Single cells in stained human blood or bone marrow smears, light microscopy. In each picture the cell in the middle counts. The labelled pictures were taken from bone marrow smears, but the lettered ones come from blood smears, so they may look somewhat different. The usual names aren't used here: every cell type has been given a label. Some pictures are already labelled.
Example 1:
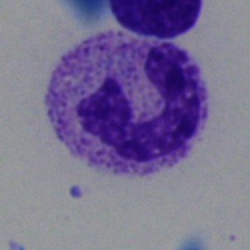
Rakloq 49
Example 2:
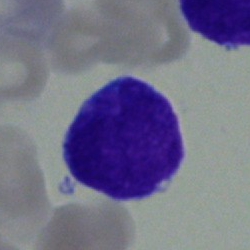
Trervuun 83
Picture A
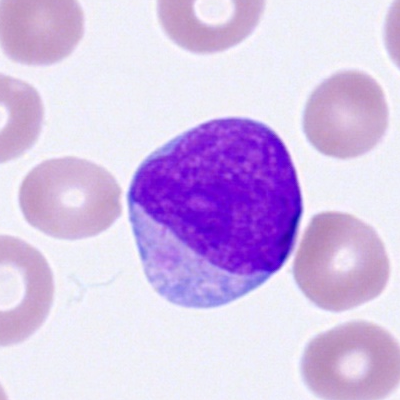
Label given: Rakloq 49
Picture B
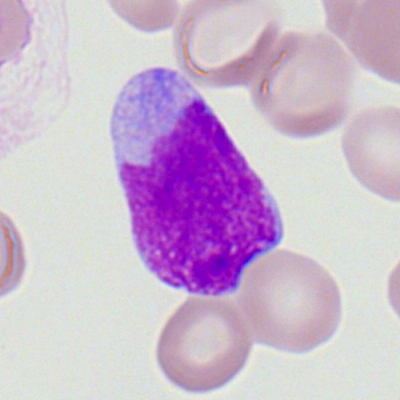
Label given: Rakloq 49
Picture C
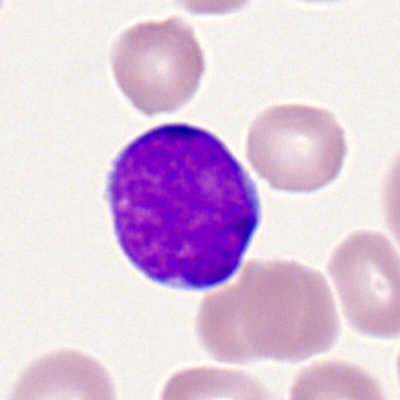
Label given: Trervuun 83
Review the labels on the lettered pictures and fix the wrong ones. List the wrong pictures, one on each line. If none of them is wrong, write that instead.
A: change Rakloq 49 to Trervuun 83
B: change Rakloq 49 to Trervuun 83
